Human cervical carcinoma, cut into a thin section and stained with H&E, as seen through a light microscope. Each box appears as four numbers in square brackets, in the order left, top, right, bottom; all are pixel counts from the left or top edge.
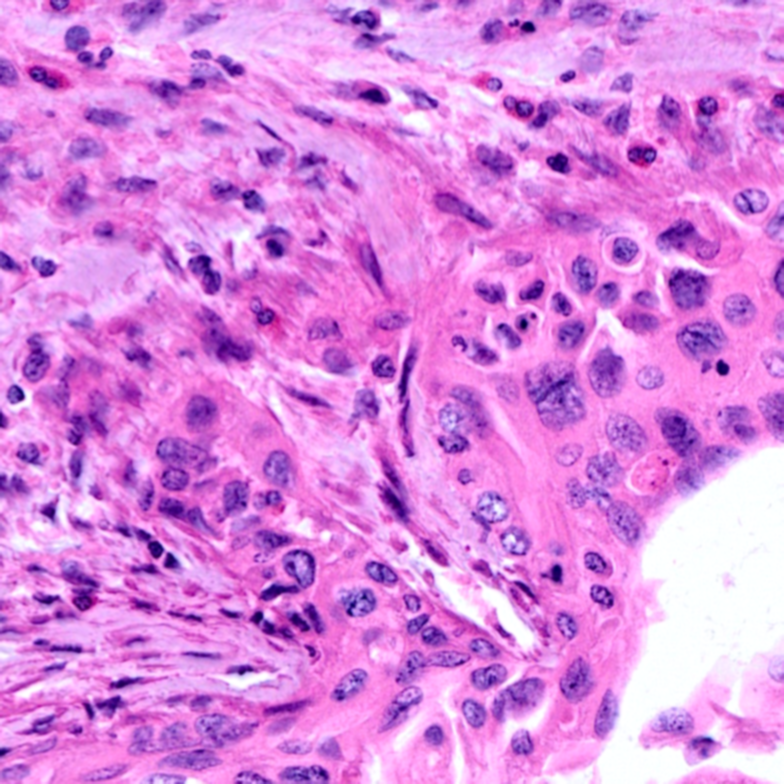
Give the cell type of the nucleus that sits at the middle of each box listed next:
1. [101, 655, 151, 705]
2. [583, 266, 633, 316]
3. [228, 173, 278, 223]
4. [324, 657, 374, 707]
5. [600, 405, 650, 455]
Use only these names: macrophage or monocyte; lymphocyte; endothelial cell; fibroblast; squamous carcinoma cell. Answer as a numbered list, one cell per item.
1. fibroblast
2. squamous carcinoma cell
3. lymphocyte
4. squamous carcinoma cell
5. squamous carcinoma cell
